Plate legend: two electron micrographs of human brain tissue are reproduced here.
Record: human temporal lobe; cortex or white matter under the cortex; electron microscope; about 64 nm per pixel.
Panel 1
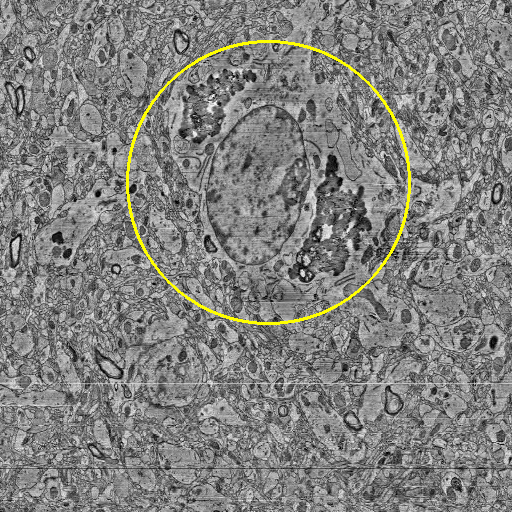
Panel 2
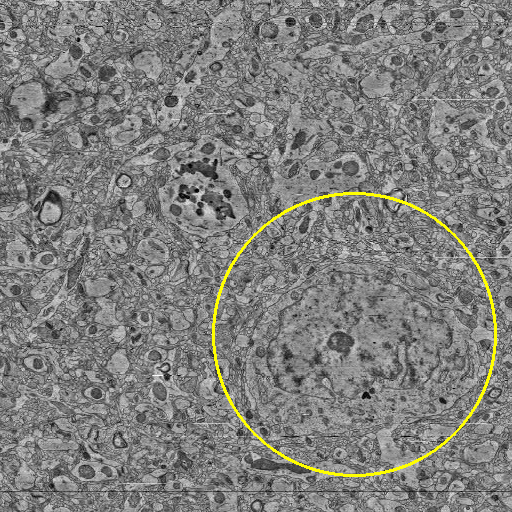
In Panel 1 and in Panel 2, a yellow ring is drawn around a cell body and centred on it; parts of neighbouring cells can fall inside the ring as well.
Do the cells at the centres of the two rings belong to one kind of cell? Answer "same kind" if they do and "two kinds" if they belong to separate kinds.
two kinds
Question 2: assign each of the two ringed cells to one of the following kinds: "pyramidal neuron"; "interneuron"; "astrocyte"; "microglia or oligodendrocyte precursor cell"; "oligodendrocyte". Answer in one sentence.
The two cells are an astrocyte in the first picture and an interneuron in the second.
